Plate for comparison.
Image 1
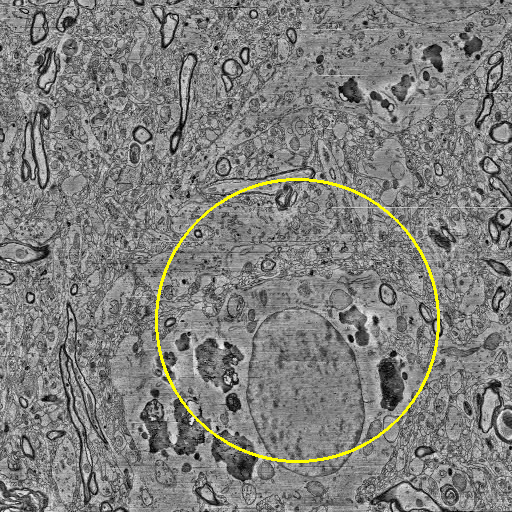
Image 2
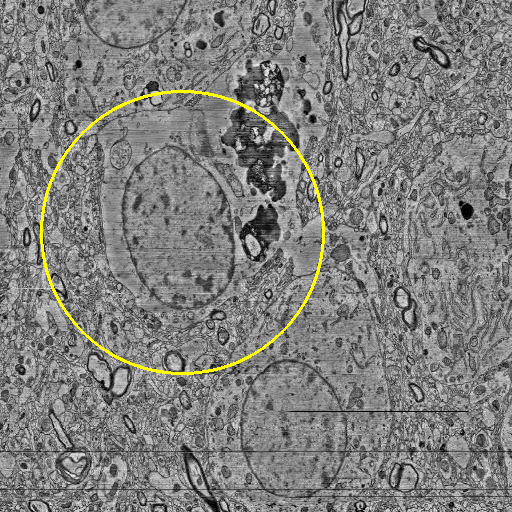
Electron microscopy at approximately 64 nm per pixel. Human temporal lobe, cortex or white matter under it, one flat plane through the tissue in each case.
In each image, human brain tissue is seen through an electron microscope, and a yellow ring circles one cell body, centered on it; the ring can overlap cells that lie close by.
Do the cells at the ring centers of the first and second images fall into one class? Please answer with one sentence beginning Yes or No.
Yes, the first and second images show a single class of cell at the ring centers.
